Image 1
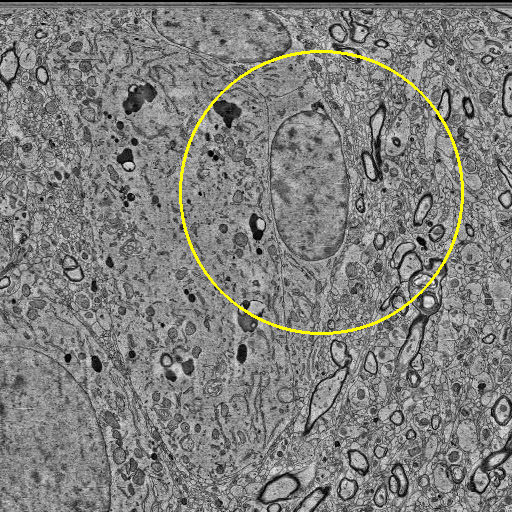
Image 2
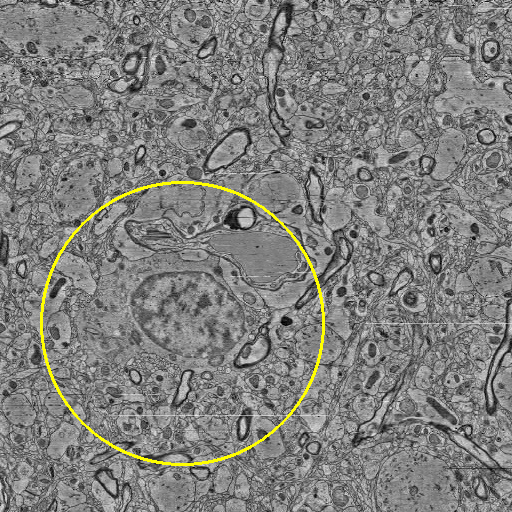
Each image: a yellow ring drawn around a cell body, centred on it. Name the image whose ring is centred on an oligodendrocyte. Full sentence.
That is Image 2.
